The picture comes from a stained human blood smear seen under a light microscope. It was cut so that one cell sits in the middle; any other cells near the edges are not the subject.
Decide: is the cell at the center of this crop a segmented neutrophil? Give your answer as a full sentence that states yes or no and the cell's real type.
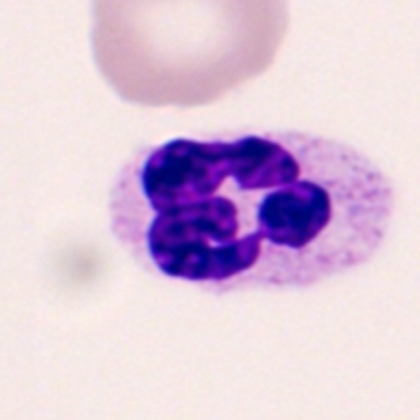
Yes, what sits in the centre of the crop is a segmented neutrophil.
